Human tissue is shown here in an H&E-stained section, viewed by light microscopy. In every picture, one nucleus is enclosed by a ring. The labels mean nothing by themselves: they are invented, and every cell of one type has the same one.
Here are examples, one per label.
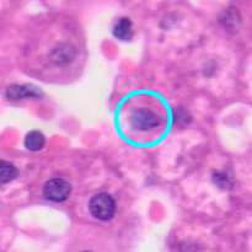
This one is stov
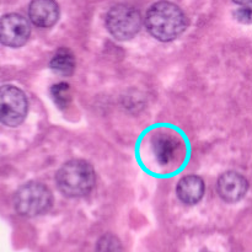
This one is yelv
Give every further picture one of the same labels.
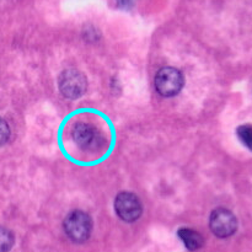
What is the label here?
yelv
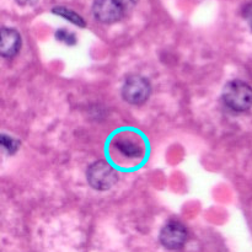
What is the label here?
stov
